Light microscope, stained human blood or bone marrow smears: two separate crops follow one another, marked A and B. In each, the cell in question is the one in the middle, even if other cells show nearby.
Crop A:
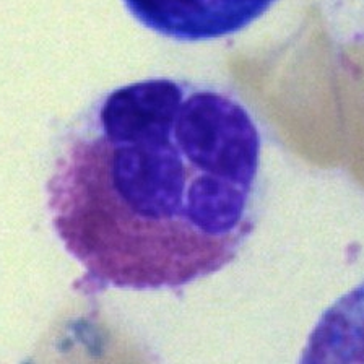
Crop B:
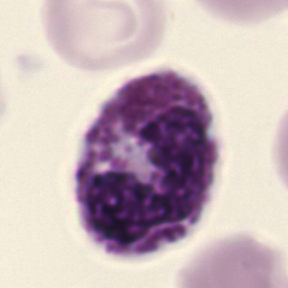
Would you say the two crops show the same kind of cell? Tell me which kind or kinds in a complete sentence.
Yes, the middle cells in the two crops are eosinophils.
